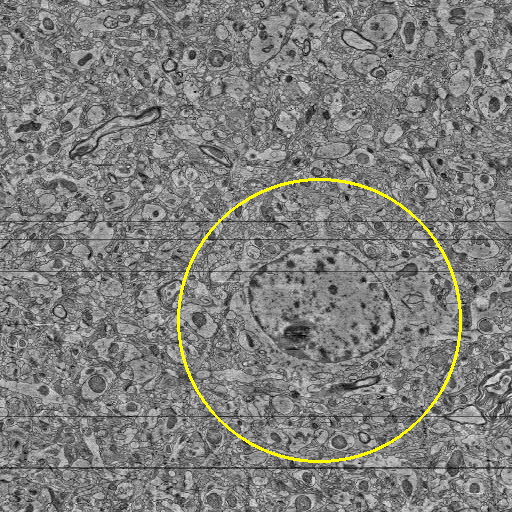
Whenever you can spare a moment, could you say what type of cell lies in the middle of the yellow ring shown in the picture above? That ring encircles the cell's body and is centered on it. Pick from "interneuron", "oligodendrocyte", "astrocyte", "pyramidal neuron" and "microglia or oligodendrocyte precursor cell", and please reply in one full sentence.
The cell whose body sits at the middle of the yellow ring is an astrocyte.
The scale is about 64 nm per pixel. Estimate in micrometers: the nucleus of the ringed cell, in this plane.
Approximately 10 x 8 micrometres in this plane.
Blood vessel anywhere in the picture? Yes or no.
No, no blood vessel shows in the picture.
